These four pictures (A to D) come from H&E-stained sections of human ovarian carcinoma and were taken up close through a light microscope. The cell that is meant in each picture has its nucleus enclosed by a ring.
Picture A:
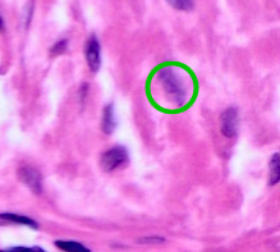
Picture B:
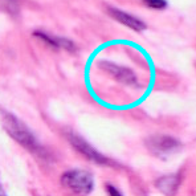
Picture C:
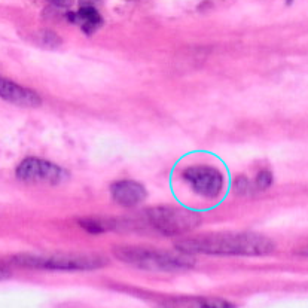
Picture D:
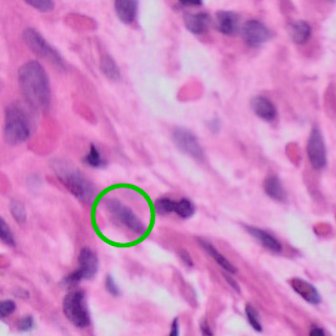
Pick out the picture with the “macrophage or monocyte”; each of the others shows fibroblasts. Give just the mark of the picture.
C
